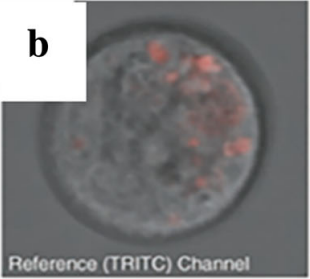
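This is a single rounded cell seen by transmitted light, with a smooth, dark, even outline marking its edge. Scattered red fluorescent spots sit inside the cell, most of them gathered toward one side of the cytoplasm rather than spread evenly. The rest of the cell interior looks grainy and grey.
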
